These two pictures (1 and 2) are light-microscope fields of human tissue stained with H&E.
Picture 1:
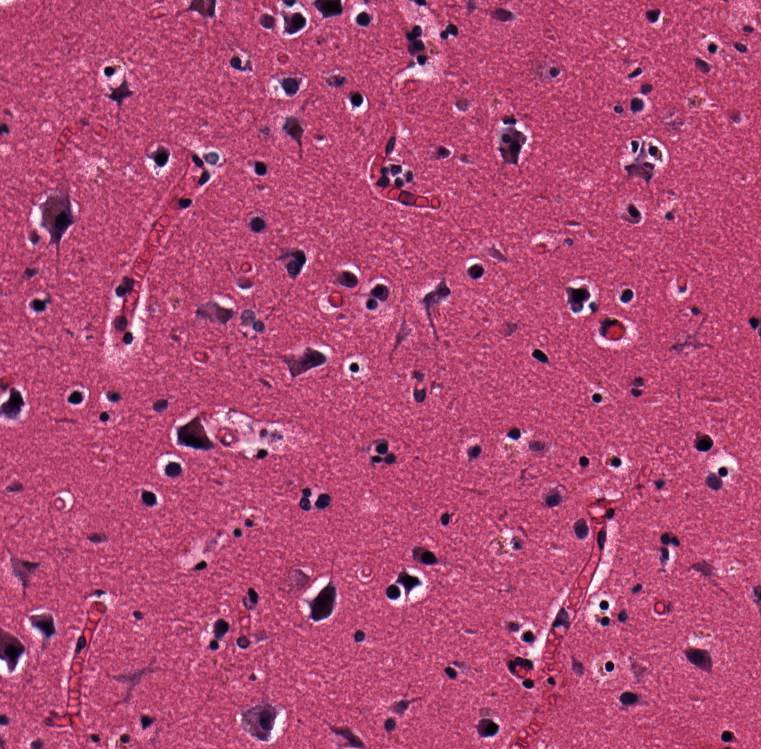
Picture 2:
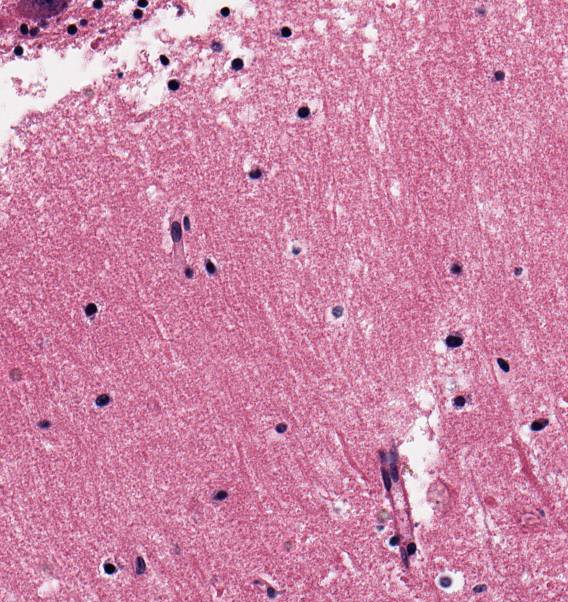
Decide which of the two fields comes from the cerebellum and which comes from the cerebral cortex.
1: cerebral cortex
2: cerebellum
